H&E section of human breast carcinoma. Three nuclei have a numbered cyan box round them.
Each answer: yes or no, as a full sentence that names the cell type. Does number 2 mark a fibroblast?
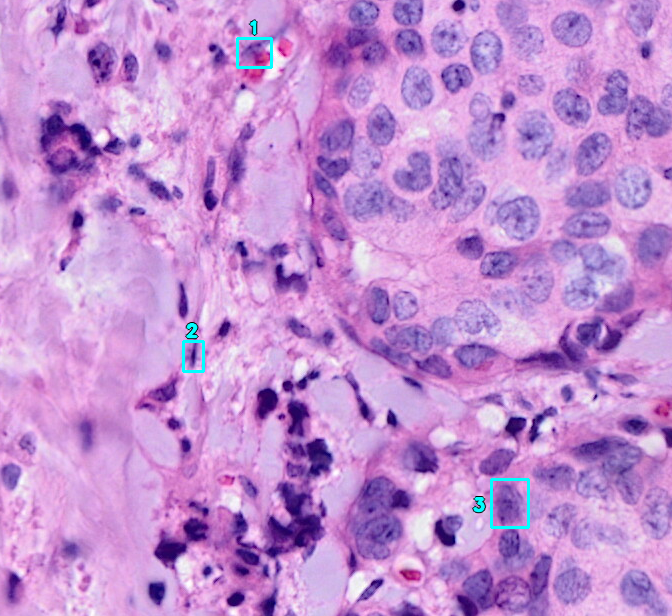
Yes, correct, the cell with the number 2 is a fibroblast.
